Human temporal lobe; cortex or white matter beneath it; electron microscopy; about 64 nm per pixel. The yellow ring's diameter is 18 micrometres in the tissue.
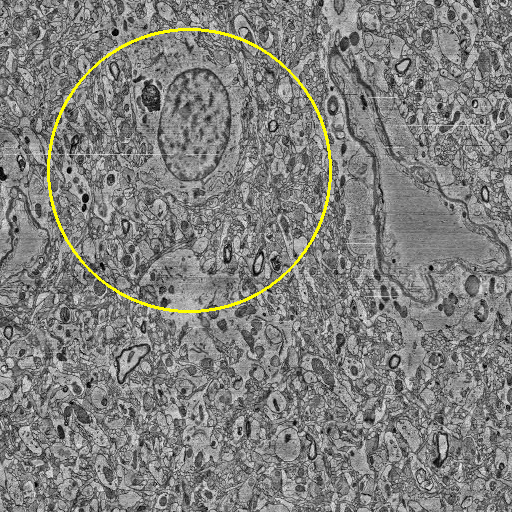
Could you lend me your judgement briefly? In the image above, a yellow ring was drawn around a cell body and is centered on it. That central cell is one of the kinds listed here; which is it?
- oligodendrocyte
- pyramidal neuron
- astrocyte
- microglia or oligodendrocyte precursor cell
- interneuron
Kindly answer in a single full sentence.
Going by the list, an astrocyte is the kind at the ring's center in the picture.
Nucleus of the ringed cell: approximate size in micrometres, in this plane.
In this plane, approximately 7 by 4 micrometers, and clearly longer than it is wide.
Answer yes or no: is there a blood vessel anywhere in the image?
Yes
